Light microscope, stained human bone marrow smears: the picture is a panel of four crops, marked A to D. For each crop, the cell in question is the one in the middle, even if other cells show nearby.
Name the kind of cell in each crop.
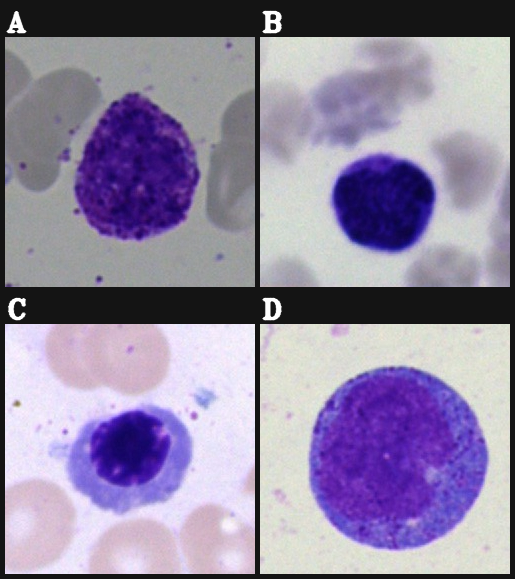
A: basophil
B: lymphocyte
C: erythroblast
D: promyelocyte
